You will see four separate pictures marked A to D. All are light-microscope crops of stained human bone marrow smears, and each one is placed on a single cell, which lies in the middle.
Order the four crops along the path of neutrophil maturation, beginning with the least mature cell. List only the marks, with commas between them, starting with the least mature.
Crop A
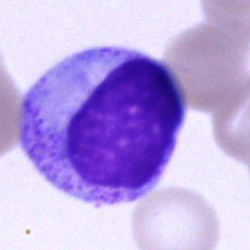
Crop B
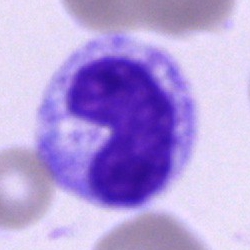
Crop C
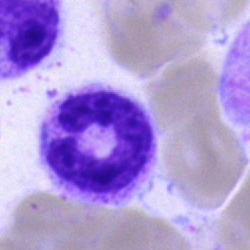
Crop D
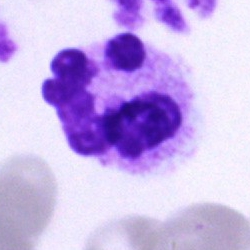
A, B, C, D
